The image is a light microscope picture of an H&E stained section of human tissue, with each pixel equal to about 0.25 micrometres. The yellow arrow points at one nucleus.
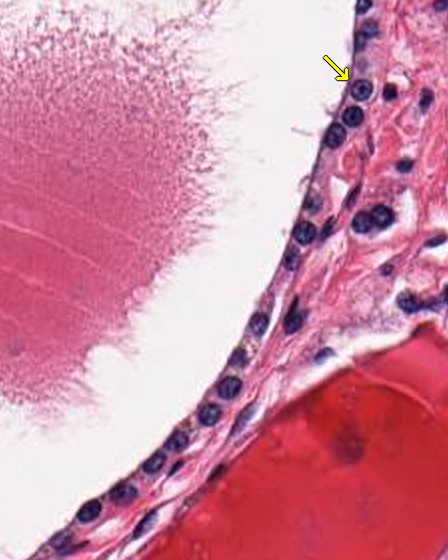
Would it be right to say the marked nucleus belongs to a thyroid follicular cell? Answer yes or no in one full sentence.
Yes, the marked nucleus represents the nucleus of a thyroid follicular cell.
